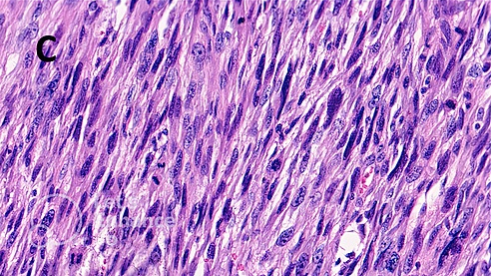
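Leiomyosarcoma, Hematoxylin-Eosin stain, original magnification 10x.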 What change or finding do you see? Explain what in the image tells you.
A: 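Elongated nuclei vary in size. Many nuclei are enlarged and stain dark purple.
Hence: larger and hyperchromatic nuclei.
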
